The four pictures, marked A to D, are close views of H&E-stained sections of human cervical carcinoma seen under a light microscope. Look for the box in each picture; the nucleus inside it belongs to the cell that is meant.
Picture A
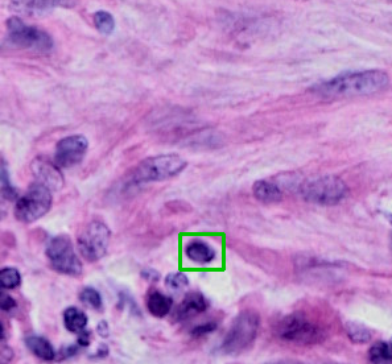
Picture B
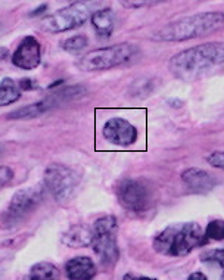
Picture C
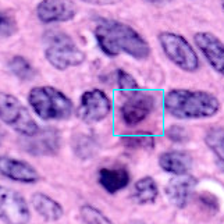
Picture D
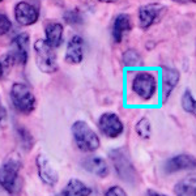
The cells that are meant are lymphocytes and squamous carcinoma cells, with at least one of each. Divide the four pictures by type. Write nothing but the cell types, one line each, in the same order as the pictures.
lymphocyte
lymphocyte
squamous carcinoma cell
lymphocyte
